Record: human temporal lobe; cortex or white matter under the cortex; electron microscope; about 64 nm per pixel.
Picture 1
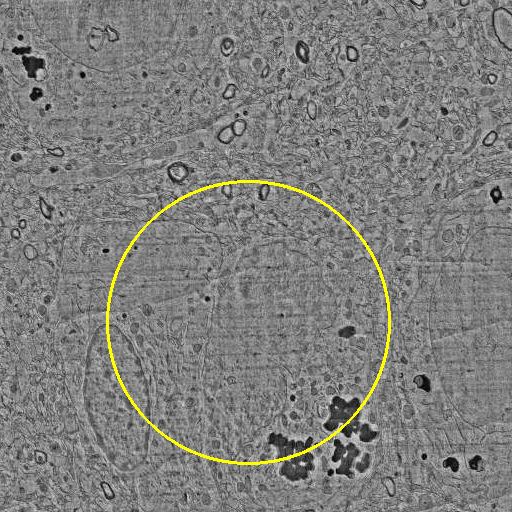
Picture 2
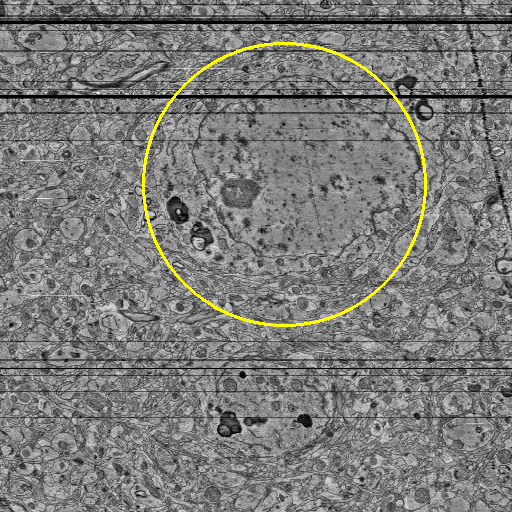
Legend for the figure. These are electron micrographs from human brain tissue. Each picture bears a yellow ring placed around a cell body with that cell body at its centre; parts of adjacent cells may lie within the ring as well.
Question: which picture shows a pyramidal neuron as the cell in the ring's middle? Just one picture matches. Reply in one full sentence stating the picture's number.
It is picture 2 whose yellow ring is centred on the requested cell.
